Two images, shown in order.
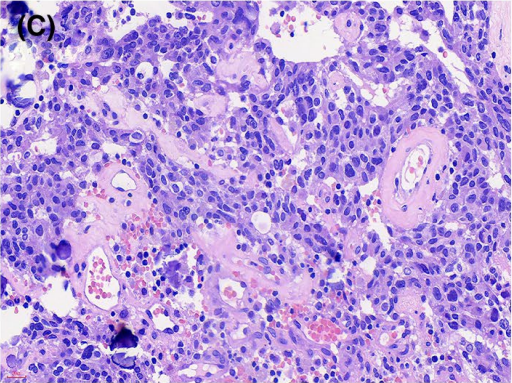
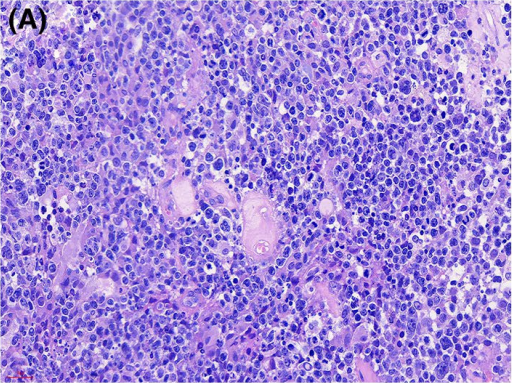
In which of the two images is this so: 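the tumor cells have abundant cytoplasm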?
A: the first image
